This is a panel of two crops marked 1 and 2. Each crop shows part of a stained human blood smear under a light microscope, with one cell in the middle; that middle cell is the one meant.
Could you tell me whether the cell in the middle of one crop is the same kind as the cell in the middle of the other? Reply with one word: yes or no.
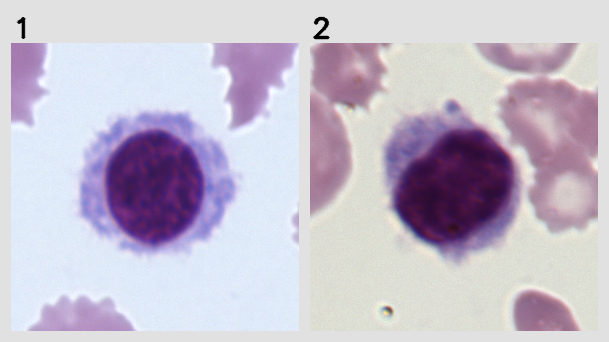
yes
